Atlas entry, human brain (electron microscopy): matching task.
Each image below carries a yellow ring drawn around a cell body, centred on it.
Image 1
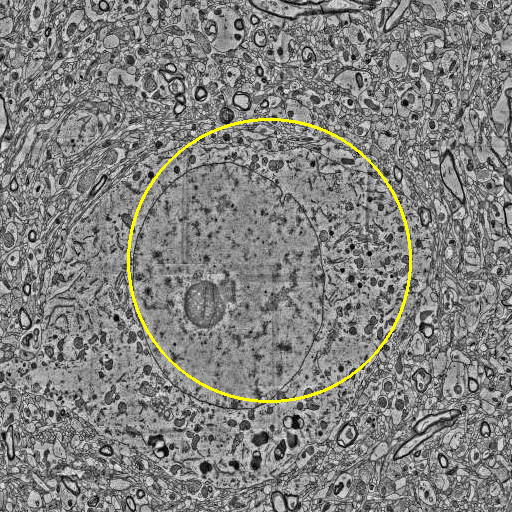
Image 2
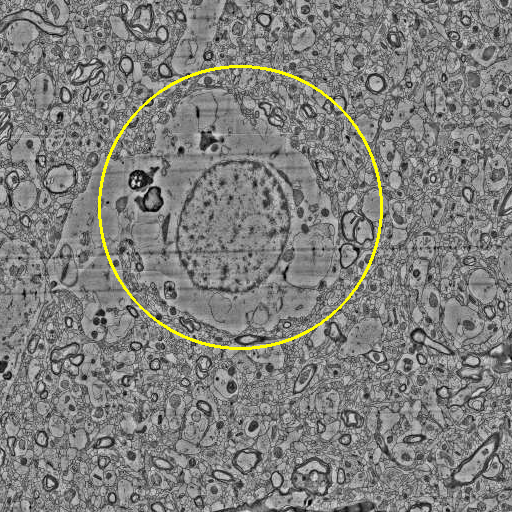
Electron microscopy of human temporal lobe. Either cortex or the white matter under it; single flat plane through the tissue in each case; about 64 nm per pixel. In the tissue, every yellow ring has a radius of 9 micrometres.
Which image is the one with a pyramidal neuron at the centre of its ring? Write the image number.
1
